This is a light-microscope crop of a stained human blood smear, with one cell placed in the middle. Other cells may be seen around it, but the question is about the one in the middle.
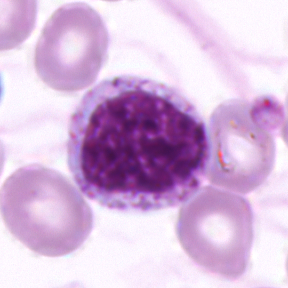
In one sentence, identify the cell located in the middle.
In this smear crop, the middle cell is a metamyelocyte.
